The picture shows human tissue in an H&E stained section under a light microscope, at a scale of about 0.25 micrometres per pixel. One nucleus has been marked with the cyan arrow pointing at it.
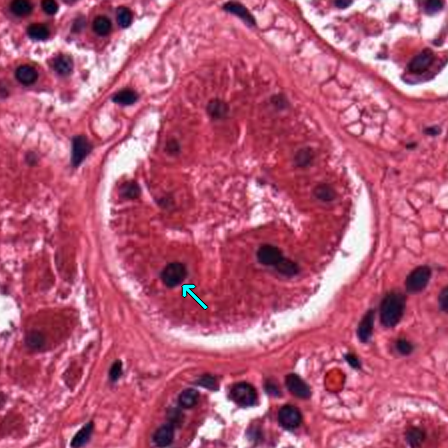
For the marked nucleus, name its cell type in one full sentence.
The nucleus marked in this picture belongs to a proximal tubule cell.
